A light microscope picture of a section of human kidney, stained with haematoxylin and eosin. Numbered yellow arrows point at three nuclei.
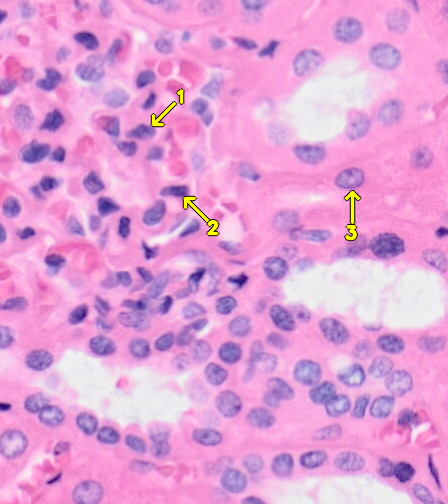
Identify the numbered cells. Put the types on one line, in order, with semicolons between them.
endothelial cell; endothelial cell; proximal tubule cell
